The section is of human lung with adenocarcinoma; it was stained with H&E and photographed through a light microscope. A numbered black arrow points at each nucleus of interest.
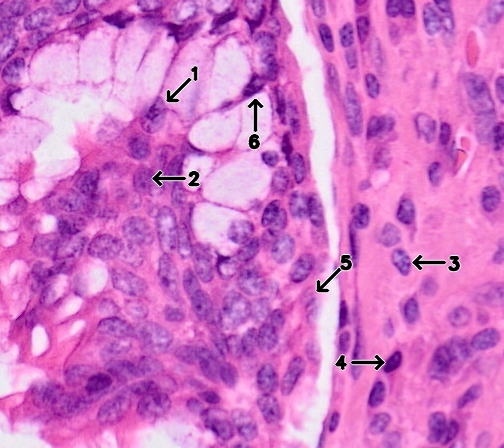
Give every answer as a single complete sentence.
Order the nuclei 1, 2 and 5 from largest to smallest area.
From largest to smallest, the order is 1, 2, 5.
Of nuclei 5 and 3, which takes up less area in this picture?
Nucleus 5 covers less area, with nucleus 3 about 1.5 times as large.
